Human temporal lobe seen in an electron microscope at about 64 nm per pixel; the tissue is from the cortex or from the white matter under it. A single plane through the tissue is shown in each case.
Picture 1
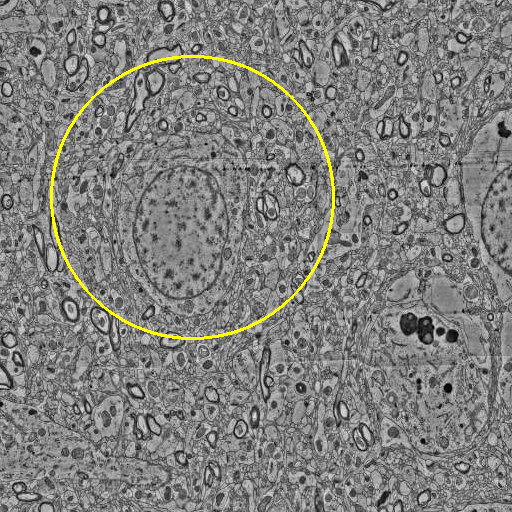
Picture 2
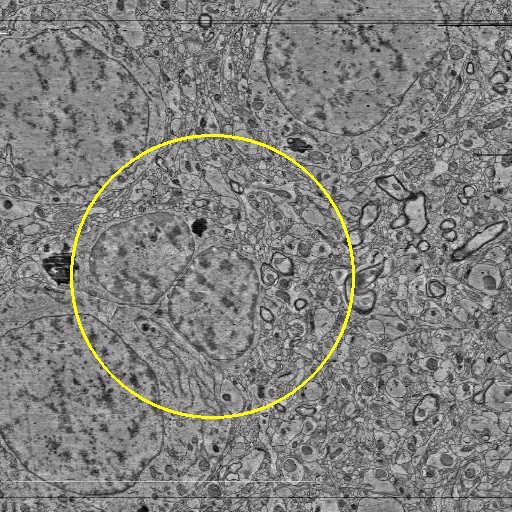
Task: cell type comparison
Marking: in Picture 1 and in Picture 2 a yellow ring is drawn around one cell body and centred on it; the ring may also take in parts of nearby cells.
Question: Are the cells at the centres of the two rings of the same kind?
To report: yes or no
no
